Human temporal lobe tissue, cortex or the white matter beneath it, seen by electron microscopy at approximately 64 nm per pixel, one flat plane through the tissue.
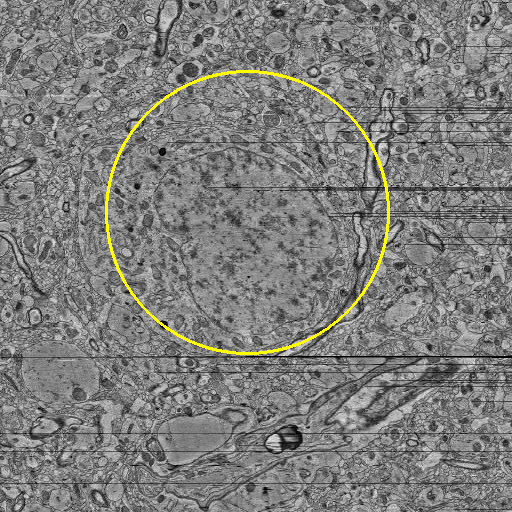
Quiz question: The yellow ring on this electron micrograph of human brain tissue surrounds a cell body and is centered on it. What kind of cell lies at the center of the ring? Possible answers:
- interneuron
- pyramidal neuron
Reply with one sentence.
The ring's center lies on an interneuron.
